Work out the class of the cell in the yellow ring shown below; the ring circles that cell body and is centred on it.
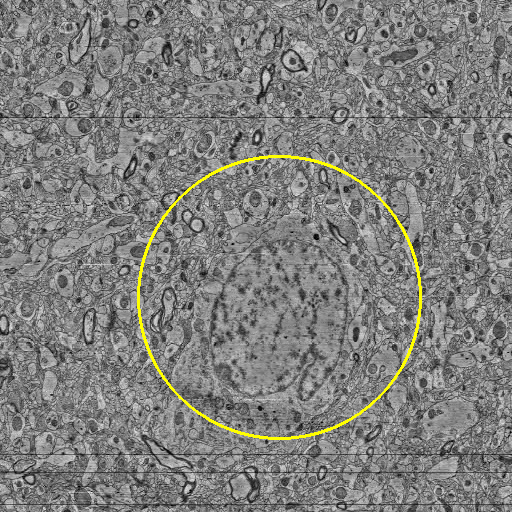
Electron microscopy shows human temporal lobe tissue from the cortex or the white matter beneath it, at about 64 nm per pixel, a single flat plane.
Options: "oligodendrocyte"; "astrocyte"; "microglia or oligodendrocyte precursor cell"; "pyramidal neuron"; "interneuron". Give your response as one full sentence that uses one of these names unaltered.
The body ringed in yellow, right at the ring's centre, is that of an interneuron.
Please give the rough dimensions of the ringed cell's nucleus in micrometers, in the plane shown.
The nucleus is approximately 11 micrometers long by 9 micrometers wide in this plane.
